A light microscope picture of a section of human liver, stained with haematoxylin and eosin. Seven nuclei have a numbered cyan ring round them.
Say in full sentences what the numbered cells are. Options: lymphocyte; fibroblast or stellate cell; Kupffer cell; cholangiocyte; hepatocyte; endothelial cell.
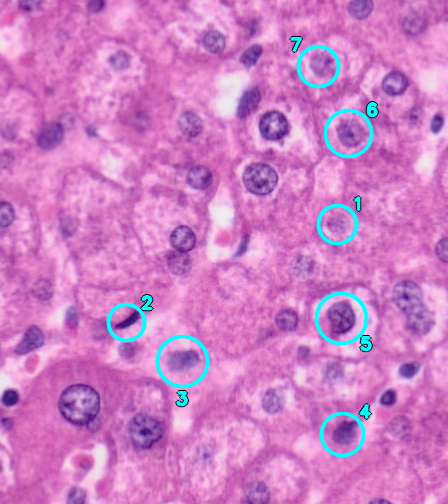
Cells 1, 5, 6 and 7 are hepatocytes. Cells 2 and 4 are fibroblasts or stellate cells. Cell 3 is an endothelial cell.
